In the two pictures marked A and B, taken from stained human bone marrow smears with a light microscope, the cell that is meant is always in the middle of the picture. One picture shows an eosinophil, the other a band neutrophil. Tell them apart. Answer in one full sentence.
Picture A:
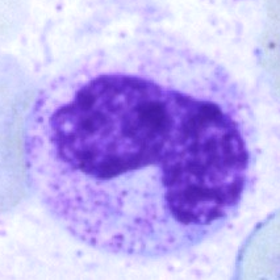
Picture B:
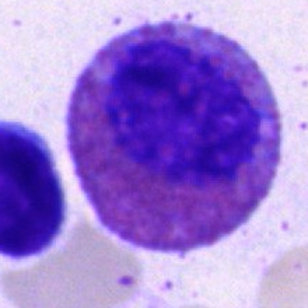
Picture B shows an eosinophil, while picture A shows a band neutrophil.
